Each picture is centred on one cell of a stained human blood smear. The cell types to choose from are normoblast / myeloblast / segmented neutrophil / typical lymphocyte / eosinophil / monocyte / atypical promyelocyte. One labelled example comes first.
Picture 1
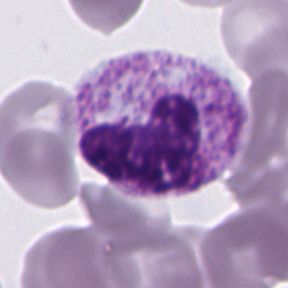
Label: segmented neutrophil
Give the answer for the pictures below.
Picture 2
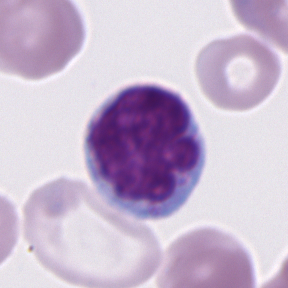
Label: typical lymphocyte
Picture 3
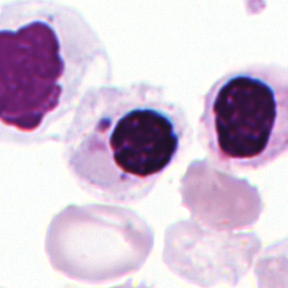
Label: normoblast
